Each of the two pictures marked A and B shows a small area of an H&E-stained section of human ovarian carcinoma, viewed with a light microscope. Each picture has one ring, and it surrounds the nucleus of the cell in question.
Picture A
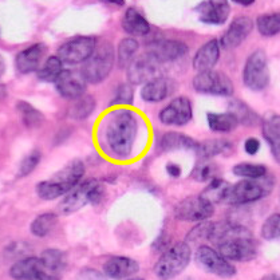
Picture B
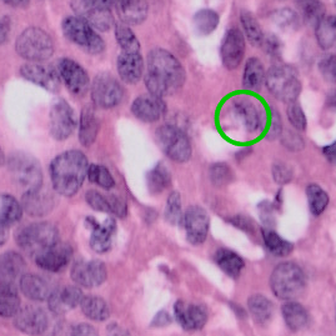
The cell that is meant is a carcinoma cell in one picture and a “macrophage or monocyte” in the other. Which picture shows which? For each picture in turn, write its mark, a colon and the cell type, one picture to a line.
A: macrophage or monocyte
B: carcinoma cell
